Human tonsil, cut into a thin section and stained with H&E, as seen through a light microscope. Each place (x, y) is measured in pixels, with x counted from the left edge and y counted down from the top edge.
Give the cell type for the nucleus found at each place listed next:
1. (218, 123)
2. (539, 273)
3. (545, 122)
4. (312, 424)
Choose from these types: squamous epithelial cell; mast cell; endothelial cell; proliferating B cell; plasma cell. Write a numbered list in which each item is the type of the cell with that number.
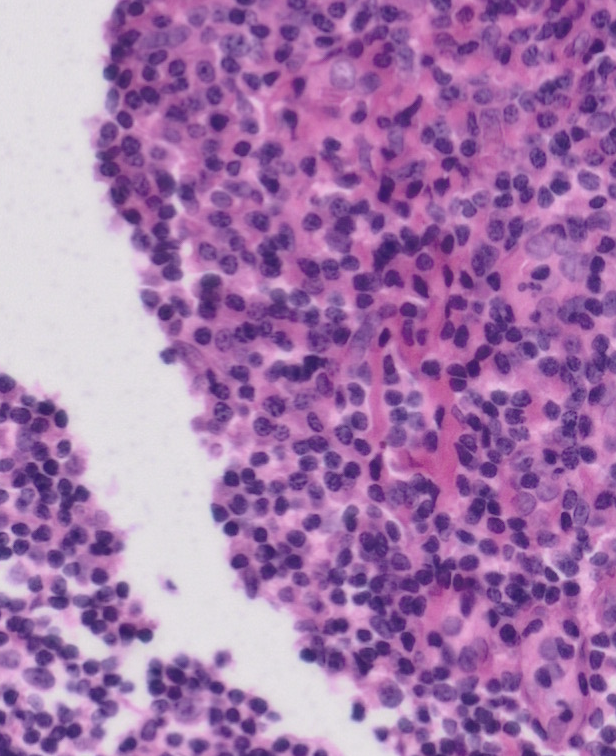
1. plasma cell
2. endothelial cell
3. plasma cell
4. plasma cell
